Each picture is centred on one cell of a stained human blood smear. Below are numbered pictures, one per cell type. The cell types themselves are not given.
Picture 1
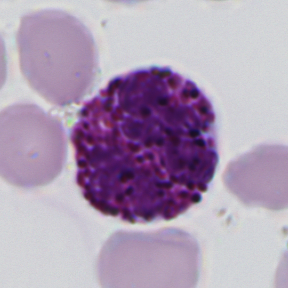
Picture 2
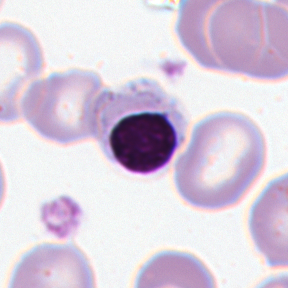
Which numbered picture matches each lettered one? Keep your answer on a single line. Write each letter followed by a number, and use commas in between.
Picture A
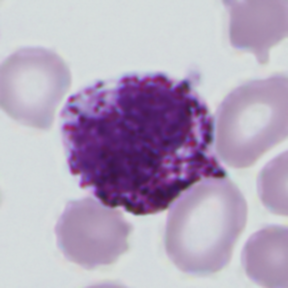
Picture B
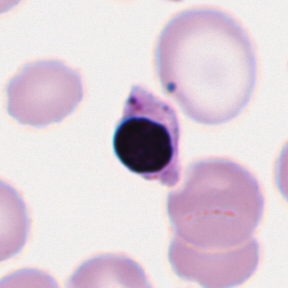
A 1, B 2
